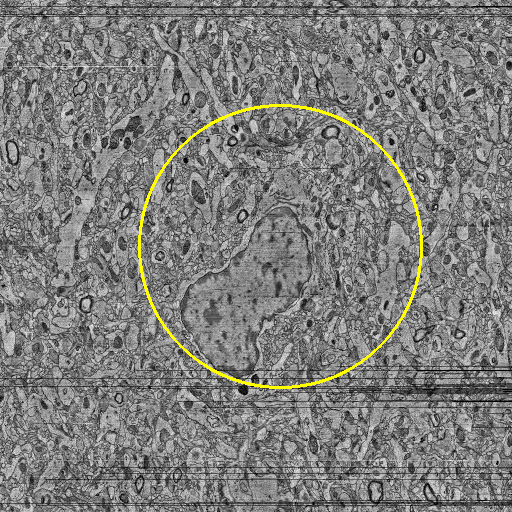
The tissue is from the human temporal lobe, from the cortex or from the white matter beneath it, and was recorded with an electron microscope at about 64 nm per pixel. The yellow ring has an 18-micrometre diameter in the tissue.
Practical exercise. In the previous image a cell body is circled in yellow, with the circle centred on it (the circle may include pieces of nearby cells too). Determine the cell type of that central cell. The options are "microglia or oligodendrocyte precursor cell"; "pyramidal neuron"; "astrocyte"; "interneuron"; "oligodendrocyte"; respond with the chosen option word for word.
microglia or oligodendrocyte precursor cell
